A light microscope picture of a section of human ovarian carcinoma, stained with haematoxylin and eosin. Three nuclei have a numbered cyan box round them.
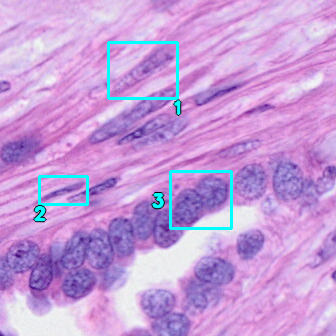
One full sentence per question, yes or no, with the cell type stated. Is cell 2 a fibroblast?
Yes, looking at number 2, that cell is a fibroblast.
